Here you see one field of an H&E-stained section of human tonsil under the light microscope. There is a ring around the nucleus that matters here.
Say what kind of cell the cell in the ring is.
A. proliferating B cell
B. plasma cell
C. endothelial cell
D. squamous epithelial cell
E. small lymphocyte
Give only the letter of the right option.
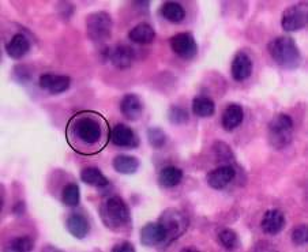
B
